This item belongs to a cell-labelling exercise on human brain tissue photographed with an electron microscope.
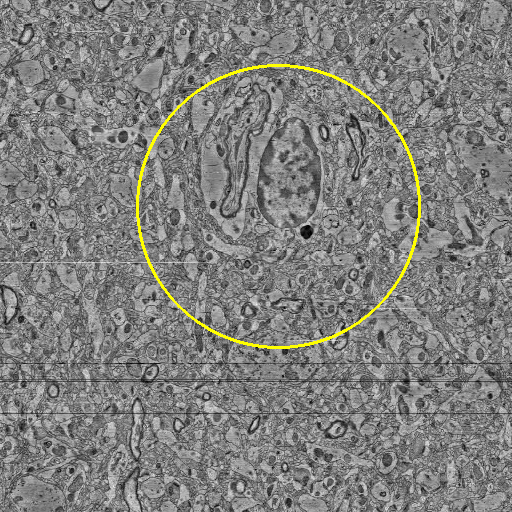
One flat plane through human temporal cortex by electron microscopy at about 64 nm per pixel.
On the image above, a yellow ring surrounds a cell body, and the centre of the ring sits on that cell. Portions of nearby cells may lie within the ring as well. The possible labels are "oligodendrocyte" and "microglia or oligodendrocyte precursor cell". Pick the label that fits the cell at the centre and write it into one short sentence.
This cell should be labelled as a microglial cell or oligodendrocyte precursor cell.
